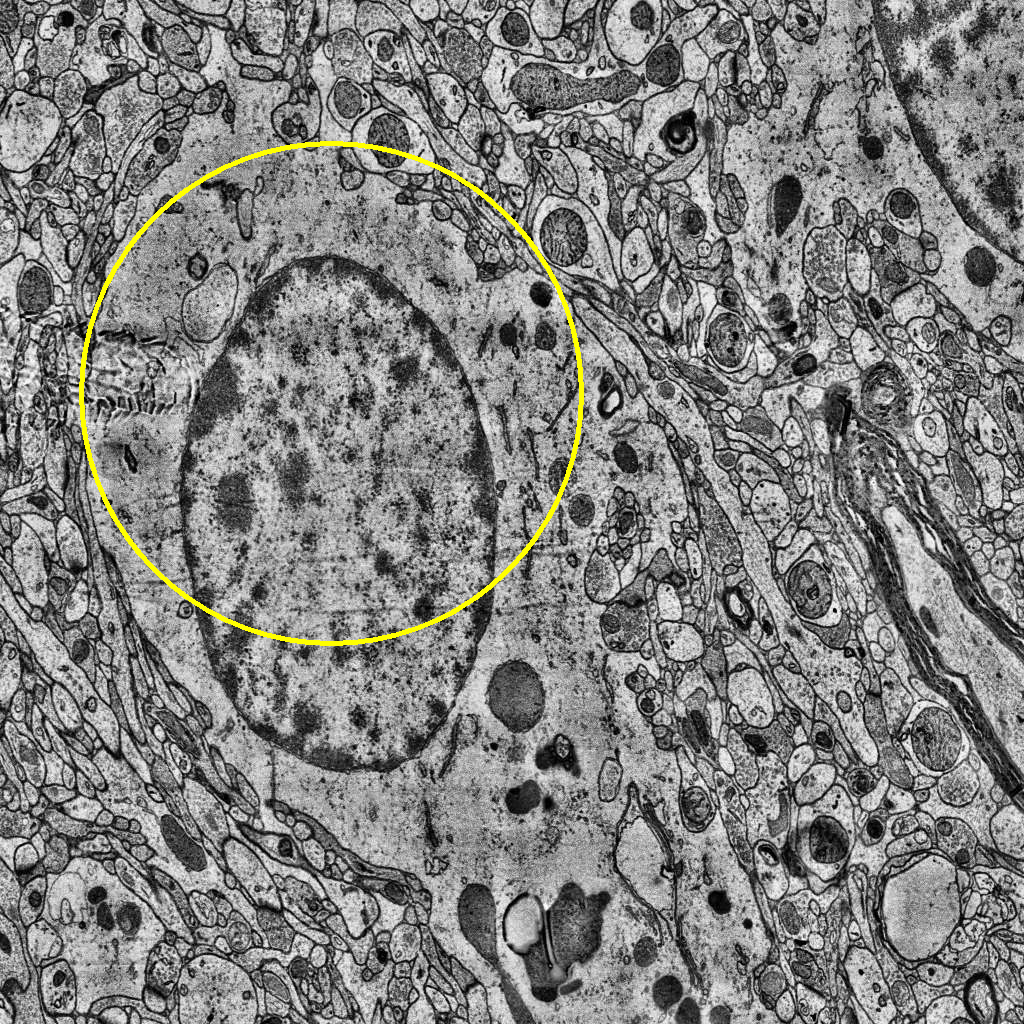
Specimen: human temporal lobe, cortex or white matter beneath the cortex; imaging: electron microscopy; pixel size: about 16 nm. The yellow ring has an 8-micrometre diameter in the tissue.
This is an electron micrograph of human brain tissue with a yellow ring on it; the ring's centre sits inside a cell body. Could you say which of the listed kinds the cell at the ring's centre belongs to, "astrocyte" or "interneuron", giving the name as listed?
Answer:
astrocyte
